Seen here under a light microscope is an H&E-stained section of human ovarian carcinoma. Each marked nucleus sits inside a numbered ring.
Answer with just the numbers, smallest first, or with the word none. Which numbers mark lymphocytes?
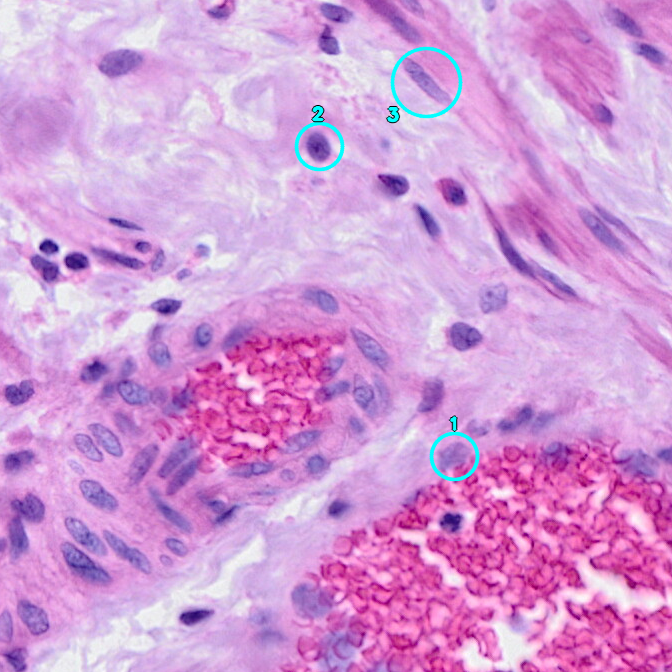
none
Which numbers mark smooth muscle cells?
3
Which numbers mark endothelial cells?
1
